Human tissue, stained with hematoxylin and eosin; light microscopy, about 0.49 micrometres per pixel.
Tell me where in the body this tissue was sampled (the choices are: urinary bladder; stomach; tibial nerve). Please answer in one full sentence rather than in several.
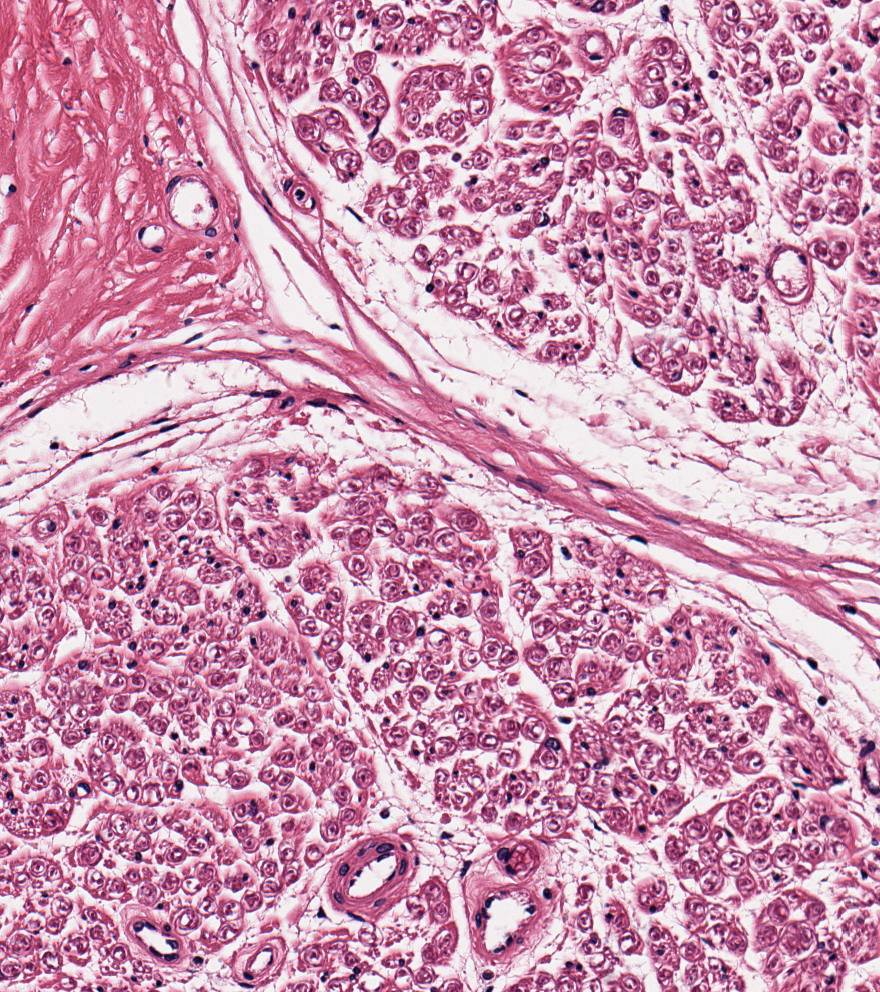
This specimen was obtained from the tibial nerve.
